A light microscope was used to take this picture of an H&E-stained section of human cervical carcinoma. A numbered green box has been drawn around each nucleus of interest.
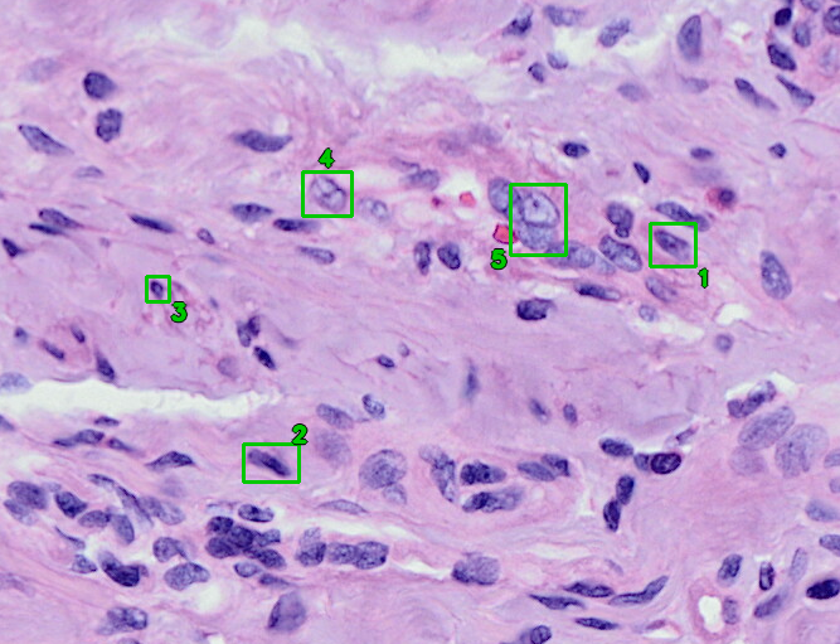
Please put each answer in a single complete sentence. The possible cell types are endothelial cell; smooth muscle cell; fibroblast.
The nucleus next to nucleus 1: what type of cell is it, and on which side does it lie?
It is a fibroblast, whose nucleus lies above nucleus 1.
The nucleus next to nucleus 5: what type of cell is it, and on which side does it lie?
The closest nucleus belongs to an endothelial cell and sits above and to the left of nucleus 5.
